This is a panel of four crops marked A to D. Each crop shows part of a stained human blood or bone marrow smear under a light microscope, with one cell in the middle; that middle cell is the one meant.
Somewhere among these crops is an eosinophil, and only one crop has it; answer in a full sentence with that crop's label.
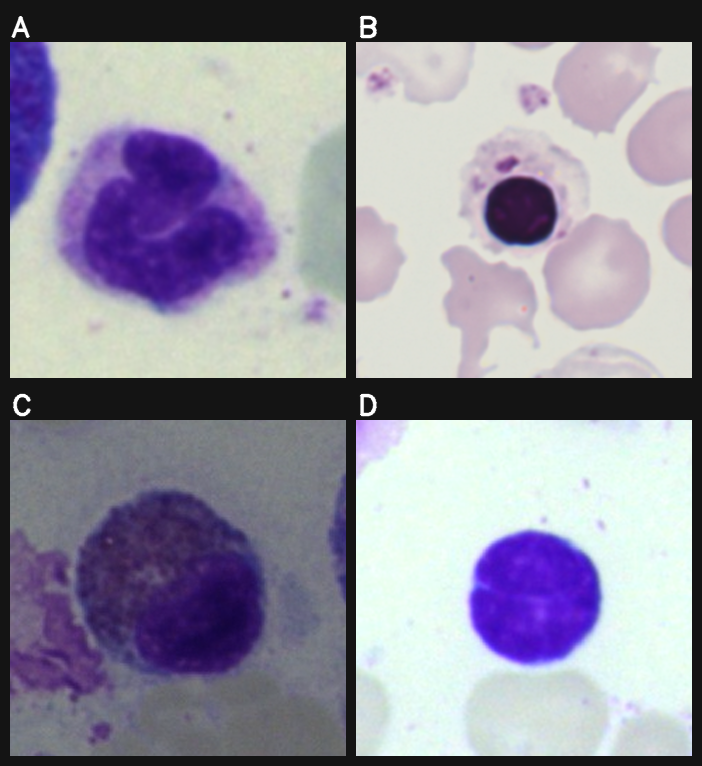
As for which crop shows an eosinophil, it is crop C.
